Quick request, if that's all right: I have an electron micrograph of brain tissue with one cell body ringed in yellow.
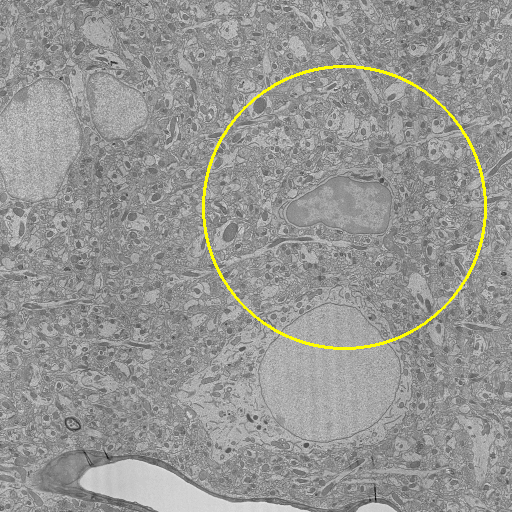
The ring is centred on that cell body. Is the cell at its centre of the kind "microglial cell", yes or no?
yes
